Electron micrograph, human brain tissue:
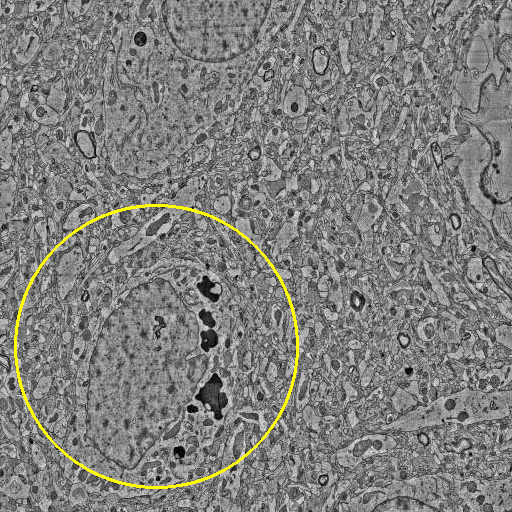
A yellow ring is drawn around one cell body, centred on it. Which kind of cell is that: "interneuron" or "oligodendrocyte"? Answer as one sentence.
It is an interneuron at the centre of the ring.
